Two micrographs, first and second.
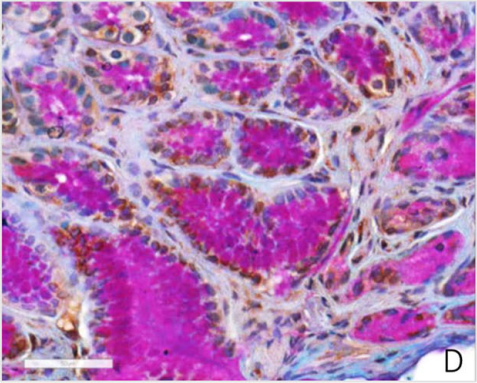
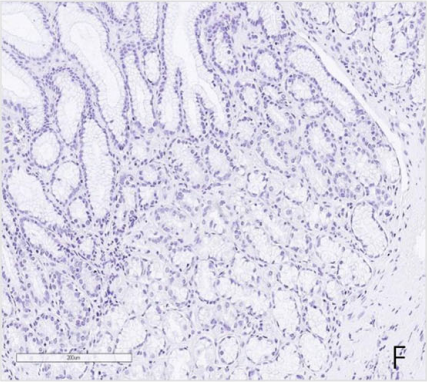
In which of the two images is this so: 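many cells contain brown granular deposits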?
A: the first image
